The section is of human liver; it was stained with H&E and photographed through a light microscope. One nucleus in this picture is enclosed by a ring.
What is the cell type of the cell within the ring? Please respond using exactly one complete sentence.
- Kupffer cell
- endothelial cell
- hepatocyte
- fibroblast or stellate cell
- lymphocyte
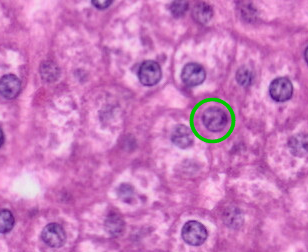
In this field of tissue, the cell within the ring is a hepatocyte.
